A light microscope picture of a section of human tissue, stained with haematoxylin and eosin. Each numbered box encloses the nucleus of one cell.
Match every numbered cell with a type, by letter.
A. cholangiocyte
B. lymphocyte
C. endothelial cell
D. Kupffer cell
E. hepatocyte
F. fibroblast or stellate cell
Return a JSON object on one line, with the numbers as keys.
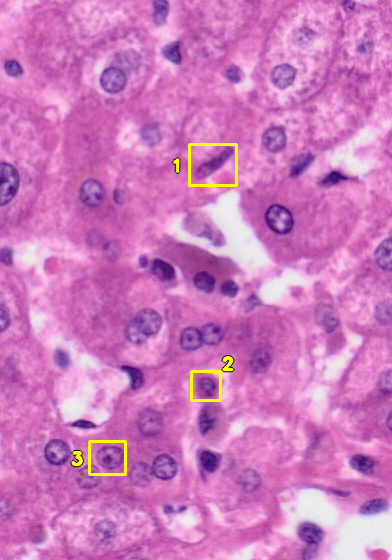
{"1": "D", "2": "D", "3": "E"}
